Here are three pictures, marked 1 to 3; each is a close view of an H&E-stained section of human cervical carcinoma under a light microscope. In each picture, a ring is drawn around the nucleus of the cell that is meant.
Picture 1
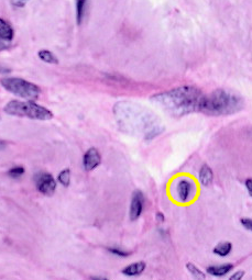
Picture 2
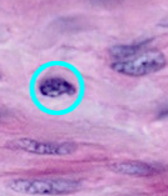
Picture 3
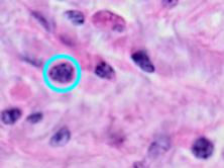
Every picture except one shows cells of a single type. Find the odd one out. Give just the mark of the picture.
1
